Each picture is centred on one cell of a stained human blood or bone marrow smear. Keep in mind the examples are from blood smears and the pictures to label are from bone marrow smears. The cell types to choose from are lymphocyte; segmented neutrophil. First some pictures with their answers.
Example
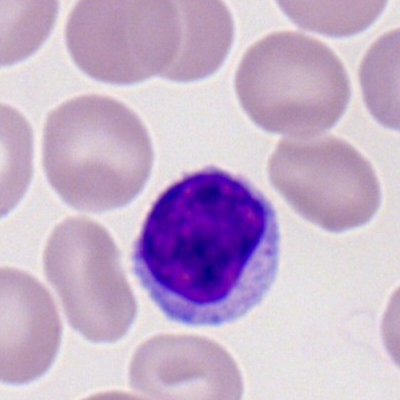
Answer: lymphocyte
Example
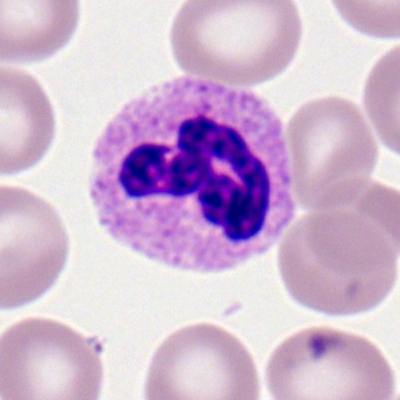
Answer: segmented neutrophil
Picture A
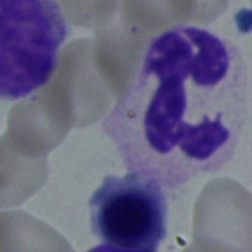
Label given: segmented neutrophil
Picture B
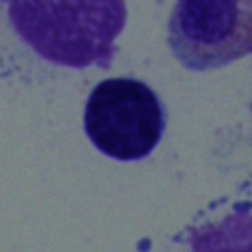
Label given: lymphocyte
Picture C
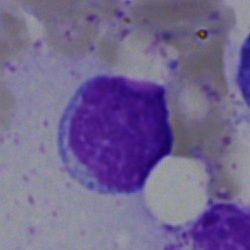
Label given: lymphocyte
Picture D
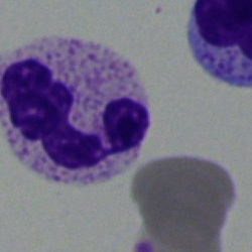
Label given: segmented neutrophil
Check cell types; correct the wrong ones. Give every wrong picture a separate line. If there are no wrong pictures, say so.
Nothing to fix; every label fits.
